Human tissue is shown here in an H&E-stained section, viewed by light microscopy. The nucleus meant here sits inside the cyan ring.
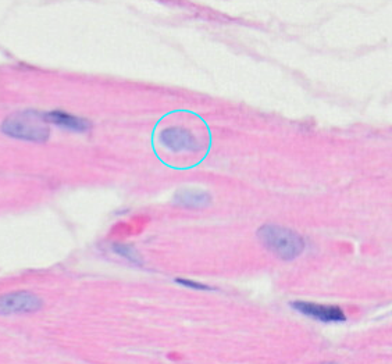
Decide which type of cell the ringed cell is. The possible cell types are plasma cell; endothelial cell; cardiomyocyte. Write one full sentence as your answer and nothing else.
As classified here, the ringed cell is a cardiomyocyte.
